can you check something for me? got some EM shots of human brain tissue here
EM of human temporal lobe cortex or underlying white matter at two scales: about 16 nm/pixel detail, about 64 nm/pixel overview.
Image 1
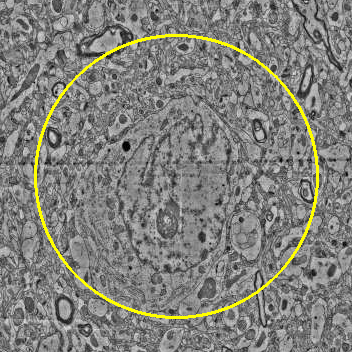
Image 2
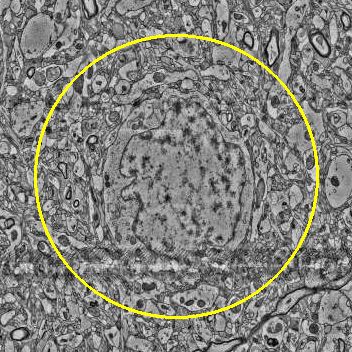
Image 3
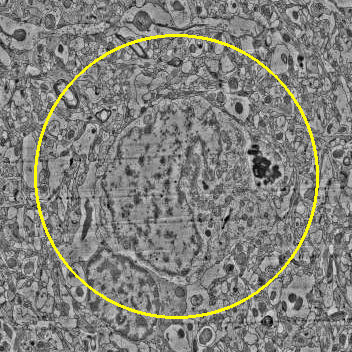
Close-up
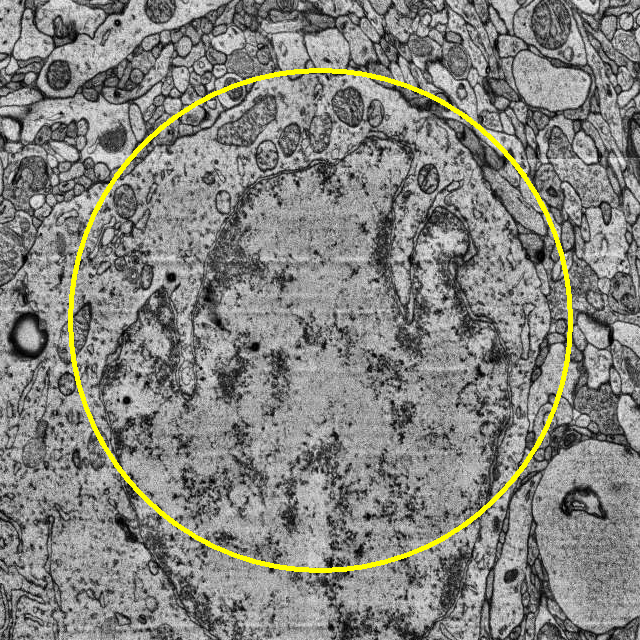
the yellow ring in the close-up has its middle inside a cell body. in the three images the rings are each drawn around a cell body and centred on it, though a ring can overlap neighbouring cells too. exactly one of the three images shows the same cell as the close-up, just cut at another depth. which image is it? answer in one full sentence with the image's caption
The cell seen up close is the one ringed within Image 1.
